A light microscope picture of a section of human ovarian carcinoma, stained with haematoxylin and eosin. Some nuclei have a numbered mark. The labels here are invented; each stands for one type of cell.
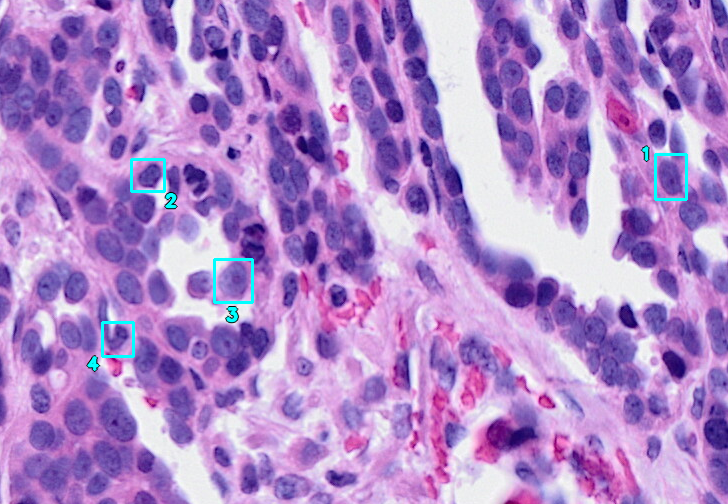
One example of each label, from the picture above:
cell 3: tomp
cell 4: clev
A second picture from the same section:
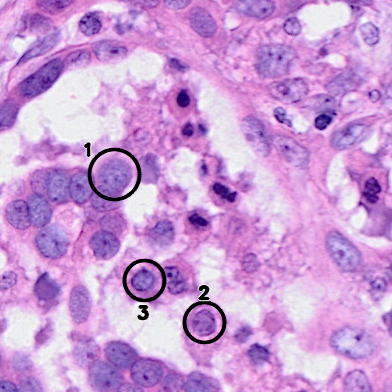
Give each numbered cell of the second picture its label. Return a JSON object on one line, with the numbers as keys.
{"1": "tomp", "2": "clev", "3": "clev"}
